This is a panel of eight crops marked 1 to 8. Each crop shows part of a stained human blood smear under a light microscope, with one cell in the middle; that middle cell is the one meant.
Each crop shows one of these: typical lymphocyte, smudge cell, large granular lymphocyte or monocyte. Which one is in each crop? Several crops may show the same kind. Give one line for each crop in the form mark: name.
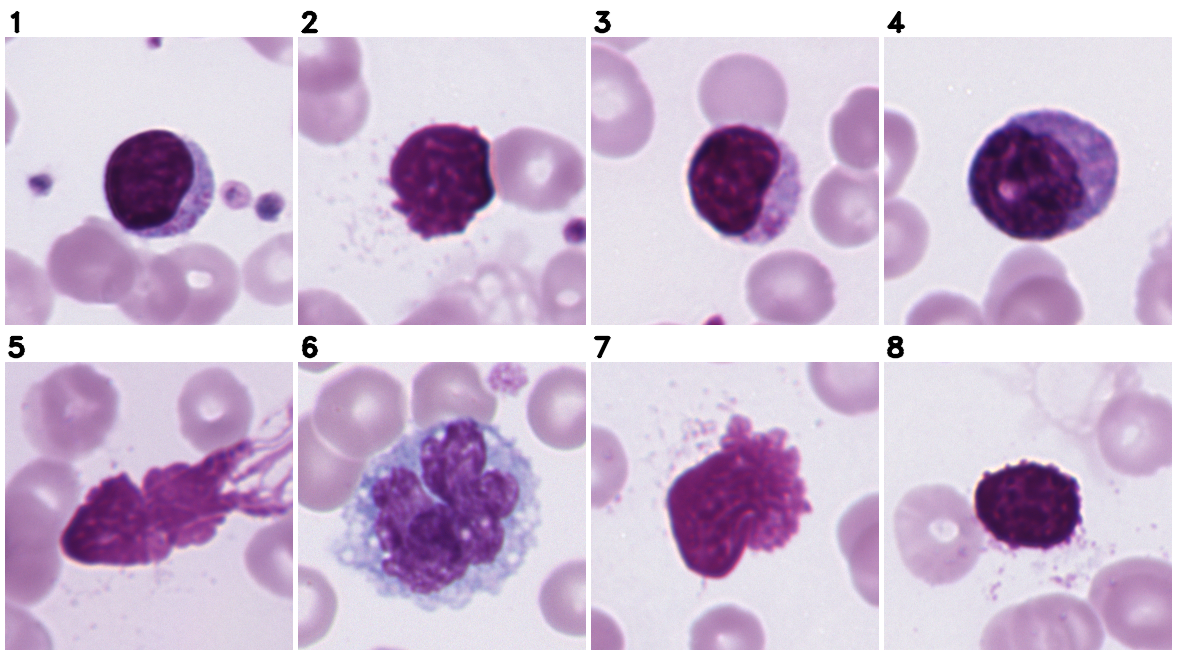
1: large granular lymphocyte
2: smudge cell
3: large granular lymphocyte
4: monocyte
5: smudge cell
6: monocyte
7: smudge cell
8: smudge cell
